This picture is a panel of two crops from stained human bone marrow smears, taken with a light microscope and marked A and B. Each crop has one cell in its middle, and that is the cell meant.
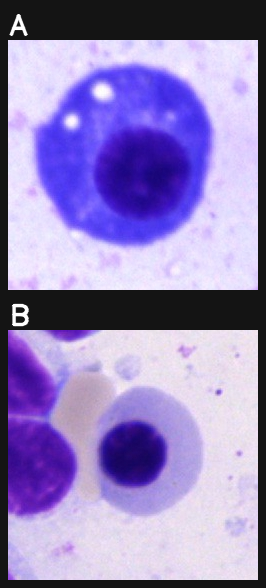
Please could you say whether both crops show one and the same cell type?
no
